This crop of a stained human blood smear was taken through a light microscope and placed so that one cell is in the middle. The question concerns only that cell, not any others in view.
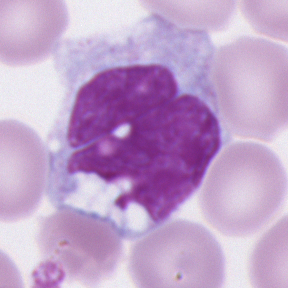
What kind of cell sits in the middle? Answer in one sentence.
The cell that lies at the centre of the crop is a monocyte.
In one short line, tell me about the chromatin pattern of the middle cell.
The chromatin is delicate and fine, lacking coarse clumping entirely.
